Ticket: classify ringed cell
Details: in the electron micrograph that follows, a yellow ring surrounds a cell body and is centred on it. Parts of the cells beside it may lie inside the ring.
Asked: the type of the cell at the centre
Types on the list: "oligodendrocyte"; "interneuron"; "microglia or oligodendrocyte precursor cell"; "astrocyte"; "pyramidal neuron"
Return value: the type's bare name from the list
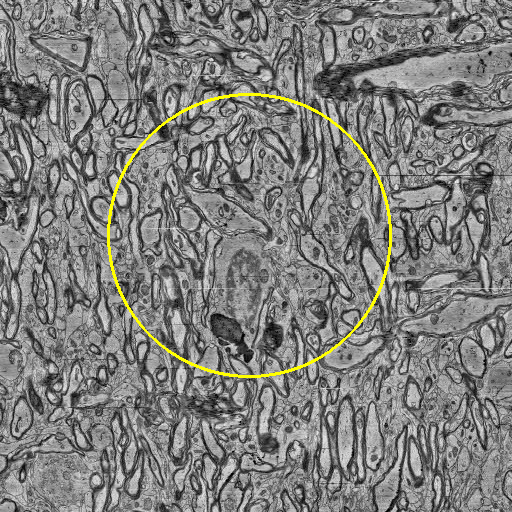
oligodendrocyte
